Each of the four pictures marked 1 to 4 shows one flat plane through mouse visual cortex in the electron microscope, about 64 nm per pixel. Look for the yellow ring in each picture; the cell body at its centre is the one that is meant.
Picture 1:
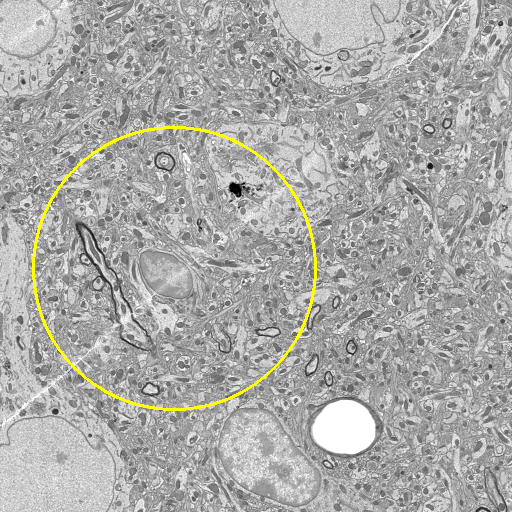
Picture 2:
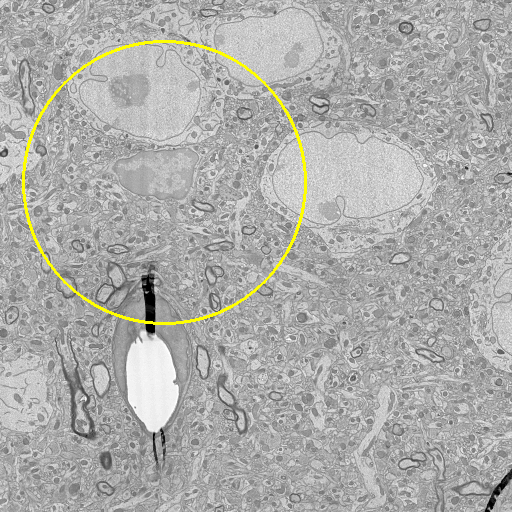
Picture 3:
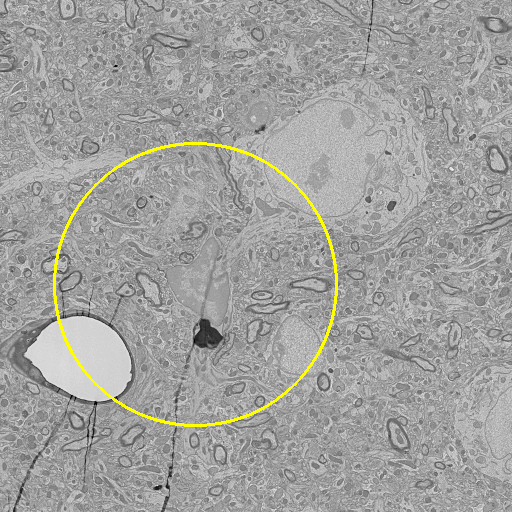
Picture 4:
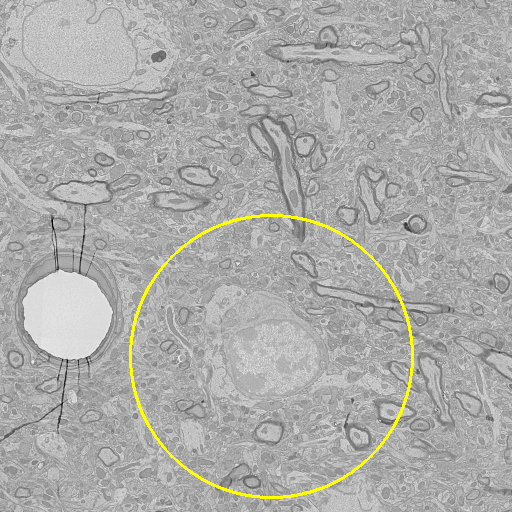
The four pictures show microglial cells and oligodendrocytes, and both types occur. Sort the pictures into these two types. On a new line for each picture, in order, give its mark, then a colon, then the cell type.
1: microglial cell
2: microglial cell
3: microglial cell
4: oligodendrocyte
